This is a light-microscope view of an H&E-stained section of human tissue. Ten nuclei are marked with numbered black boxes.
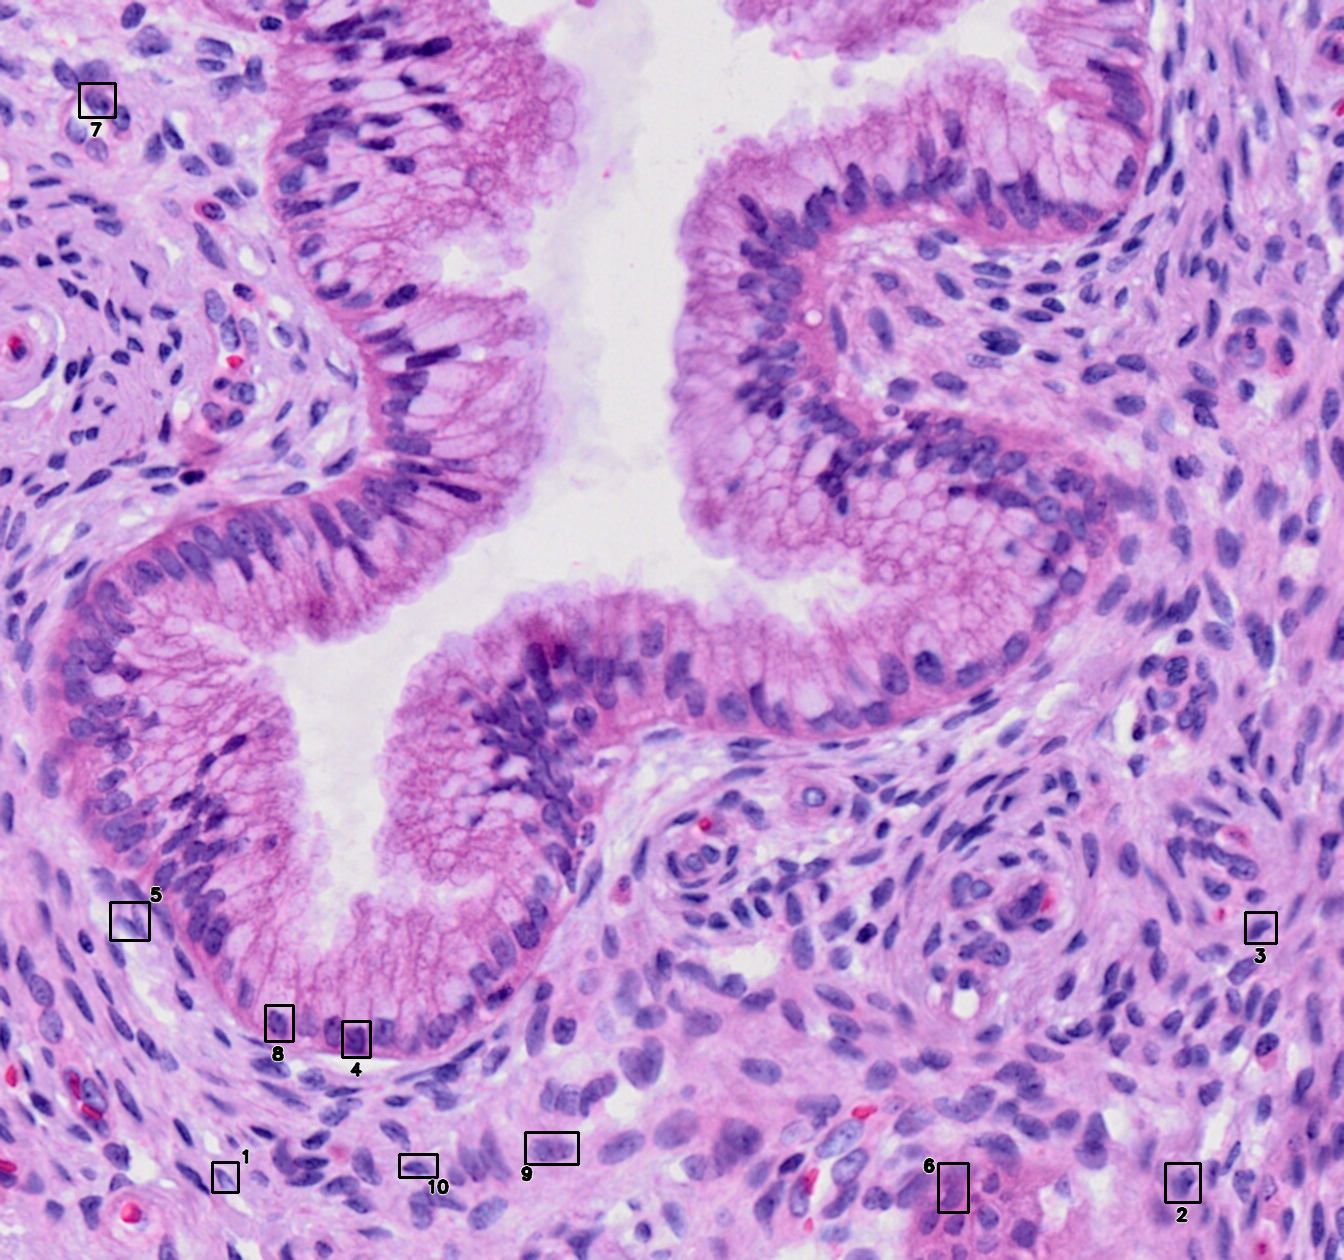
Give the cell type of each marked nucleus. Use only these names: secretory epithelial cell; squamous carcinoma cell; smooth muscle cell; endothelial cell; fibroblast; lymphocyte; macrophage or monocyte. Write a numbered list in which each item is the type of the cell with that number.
1. fibroblast
2. fibroblast
3. fibroblast
4. secretory epithelial cell
5. fibroblast
6. secretory epithelial cell
7. endothelial cell
8. secretory epithelial cell
9. fibroblast
10. fibroblast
